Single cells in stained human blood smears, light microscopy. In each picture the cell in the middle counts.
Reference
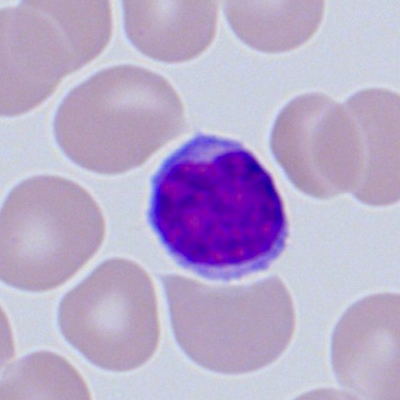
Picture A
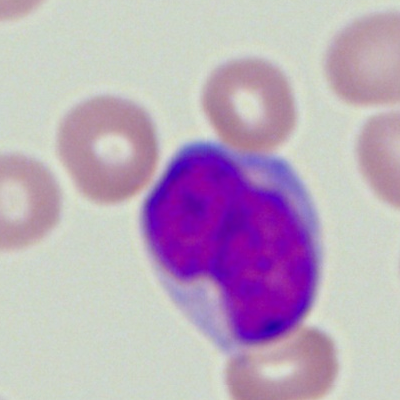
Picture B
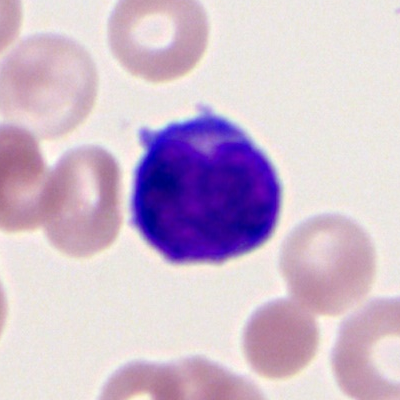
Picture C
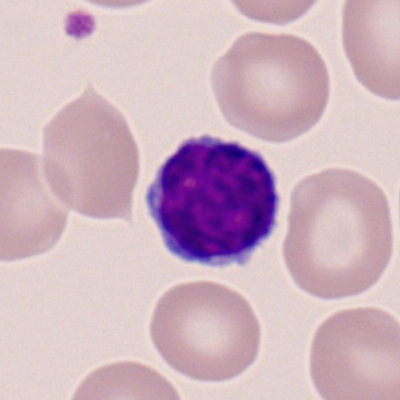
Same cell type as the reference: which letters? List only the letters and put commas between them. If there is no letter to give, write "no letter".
C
